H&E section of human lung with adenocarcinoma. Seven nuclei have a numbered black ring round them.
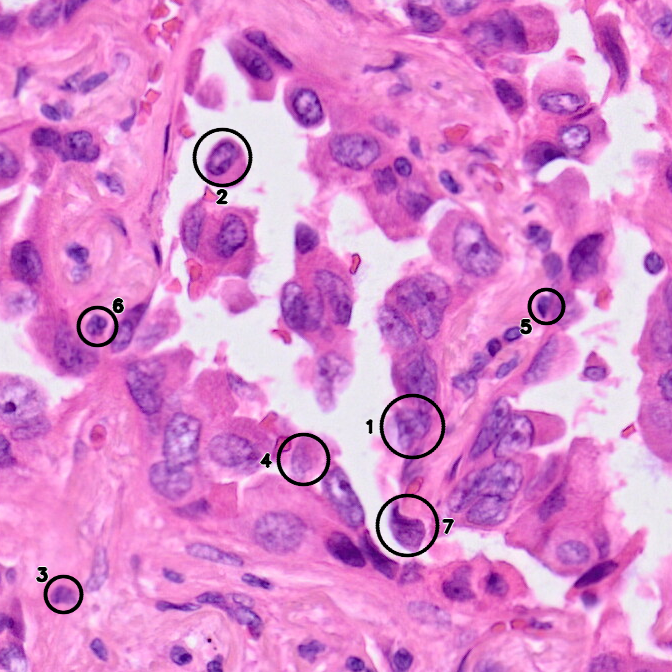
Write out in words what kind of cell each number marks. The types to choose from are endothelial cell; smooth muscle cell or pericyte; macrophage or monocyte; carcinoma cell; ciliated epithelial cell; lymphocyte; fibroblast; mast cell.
Cell 1 is a carcinoma cell, cell 2 is a carcinoma cell, cell 3 is a mast cell, cell 4 is a carcinoma cell, cell 5 is a lymphocyte, cell 6 is a lymphocyte and cell 7 is a carcinoma cell.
